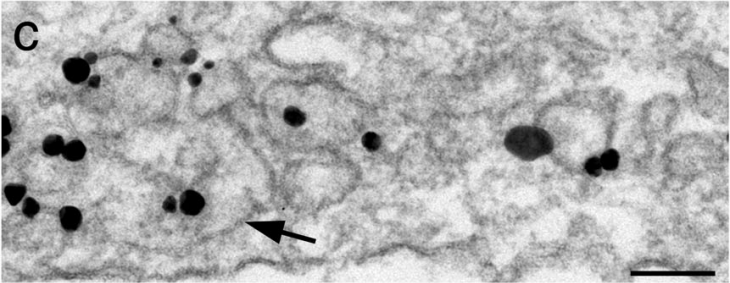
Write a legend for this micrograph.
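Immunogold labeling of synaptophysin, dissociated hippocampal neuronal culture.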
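This electron micrograph shows an aggregate of membranous structures within an axon at high magnification. Rounded vesicular and elongated tubular membrane-bound profiles are packed together, and many large and small black gold particles sit on or beside their membranes.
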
